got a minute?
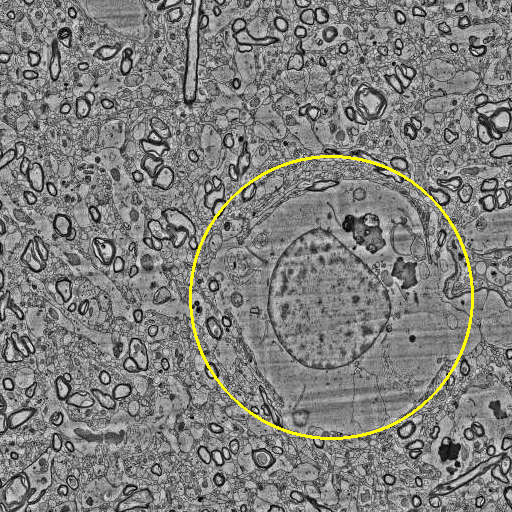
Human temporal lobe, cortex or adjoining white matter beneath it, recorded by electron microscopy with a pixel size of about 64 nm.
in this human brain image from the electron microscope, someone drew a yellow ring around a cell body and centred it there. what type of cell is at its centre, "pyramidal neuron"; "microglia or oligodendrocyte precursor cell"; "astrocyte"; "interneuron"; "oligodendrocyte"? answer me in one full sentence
It's an astrocyte at the middle of that yellow ring in the shot.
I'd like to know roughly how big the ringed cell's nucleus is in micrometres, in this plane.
The nucleus is approximately 8 micrometers across in this plane.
